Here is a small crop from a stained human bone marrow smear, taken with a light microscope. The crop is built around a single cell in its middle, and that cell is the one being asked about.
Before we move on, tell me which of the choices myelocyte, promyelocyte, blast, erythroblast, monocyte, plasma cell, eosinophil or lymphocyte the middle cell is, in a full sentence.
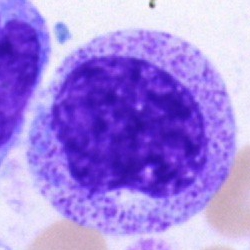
This crop's central cell is a myelocyte.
